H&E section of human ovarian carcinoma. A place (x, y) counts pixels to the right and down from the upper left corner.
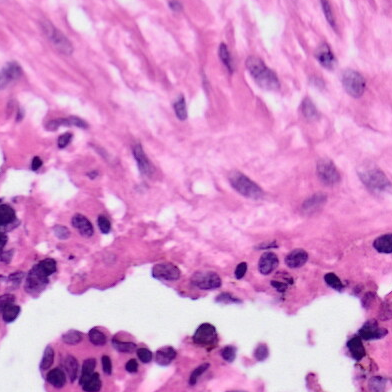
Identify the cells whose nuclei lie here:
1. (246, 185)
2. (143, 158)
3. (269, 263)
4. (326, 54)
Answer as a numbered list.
1. fibroblast
2. fibroblast
3. macrophage or monocyte
4. fibroblast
